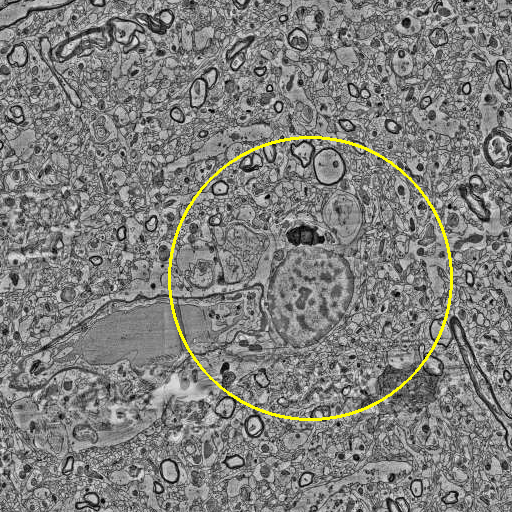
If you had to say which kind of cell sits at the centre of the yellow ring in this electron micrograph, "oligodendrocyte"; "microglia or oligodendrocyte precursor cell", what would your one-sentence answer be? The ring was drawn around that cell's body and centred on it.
The cell sitting at the centre of the ring is an oligodendrocyte.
